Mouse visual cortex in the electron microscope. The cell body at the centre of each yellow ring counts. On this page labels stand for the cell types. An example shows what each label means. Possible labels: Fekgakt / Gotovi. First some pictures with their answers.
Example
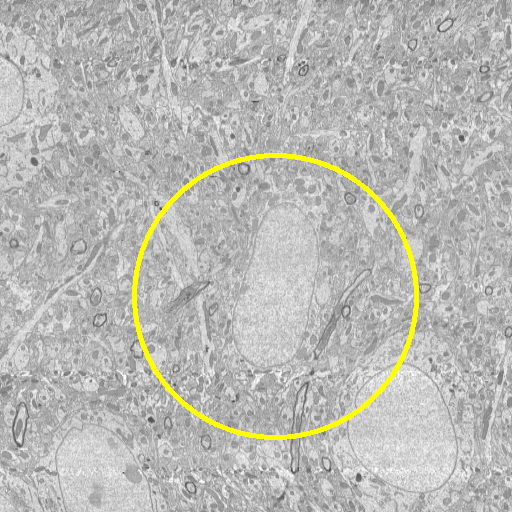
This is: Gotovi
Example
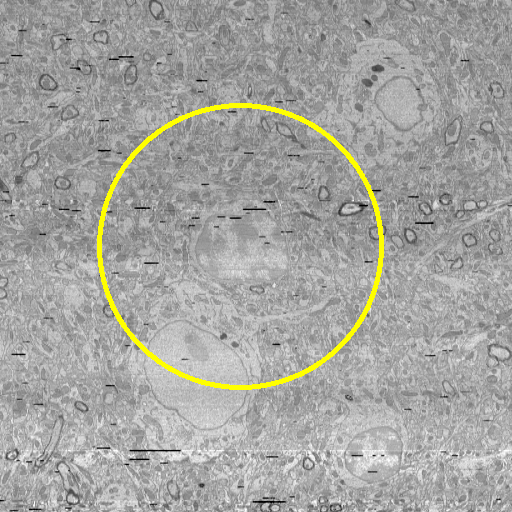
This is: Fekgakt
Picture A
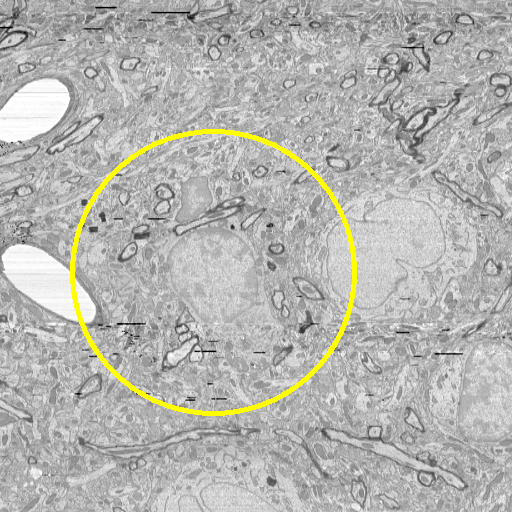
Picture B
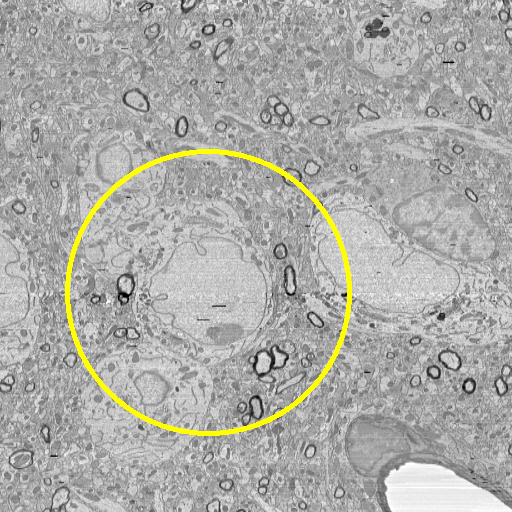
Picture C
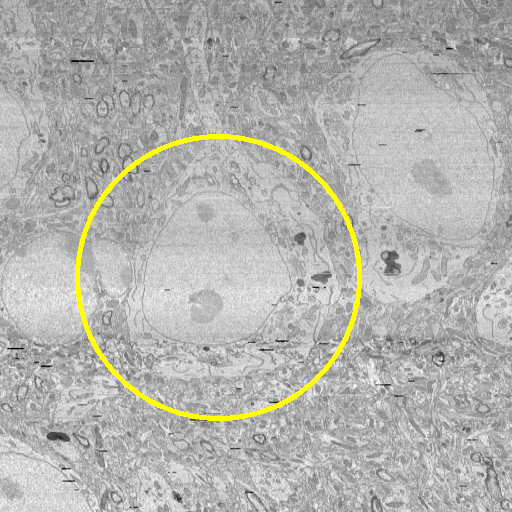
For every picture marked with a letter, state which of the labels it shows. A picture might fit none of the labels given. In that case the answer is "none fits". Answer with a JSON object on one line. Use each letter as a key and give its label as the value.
{"A": "Fekgakt", "B": "none fits", "C": "none fits"}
